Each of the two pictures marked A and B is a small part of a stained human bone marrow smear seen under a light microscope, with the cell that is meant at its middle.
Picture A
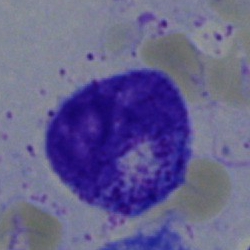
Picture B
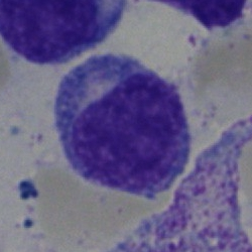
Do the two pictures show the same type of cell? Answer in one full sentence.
Yes; the cells in both pictures are myelocytes.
